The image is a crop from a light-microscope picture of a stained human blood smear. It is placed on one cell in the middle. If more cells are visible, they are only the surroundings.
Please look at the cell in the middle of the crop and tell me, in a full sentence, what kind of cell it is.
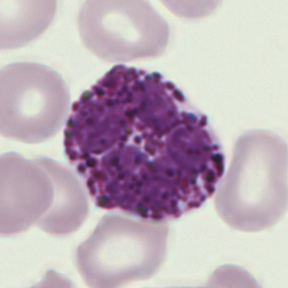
This crop is built around a basophil at its centre.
